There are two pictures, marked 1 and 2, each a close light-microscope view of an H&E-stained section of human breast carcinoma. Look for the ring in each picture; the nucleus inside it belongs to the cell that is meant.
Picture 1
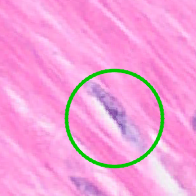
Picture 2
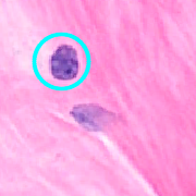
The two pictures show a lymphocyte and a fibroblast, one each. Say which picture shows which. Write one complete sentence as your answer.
Picture 1 is of a fibroblast, and picture 2 is of a lymphocyte.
